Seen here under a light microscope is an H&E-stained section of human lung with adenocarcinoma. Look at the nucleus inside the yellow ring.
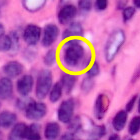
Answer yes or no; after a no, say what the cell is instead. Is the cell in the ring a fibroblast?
No, it is a lymphocyte.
